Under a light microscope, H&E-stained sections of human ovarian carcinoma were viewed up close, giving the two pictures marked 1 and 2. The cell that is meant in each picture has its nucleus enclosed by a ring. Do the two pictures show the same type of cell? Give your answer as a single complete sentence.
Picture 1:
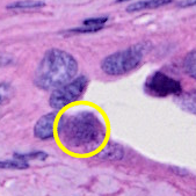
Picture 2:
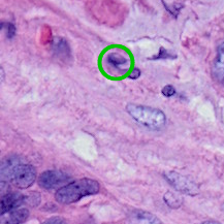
No, the types are not the same, since picture 1 shows a carcinoma cell and picture 2 a “macrophage or monocyte”.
